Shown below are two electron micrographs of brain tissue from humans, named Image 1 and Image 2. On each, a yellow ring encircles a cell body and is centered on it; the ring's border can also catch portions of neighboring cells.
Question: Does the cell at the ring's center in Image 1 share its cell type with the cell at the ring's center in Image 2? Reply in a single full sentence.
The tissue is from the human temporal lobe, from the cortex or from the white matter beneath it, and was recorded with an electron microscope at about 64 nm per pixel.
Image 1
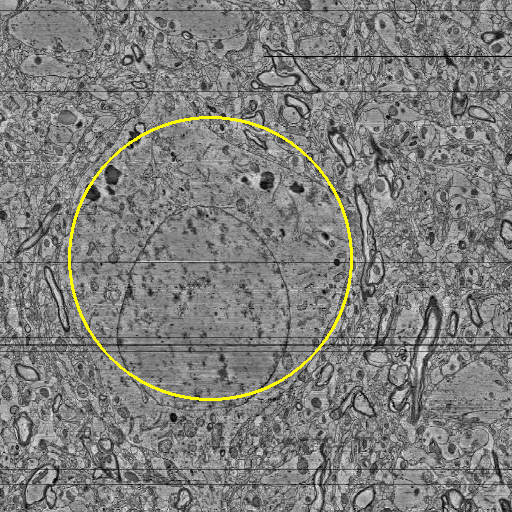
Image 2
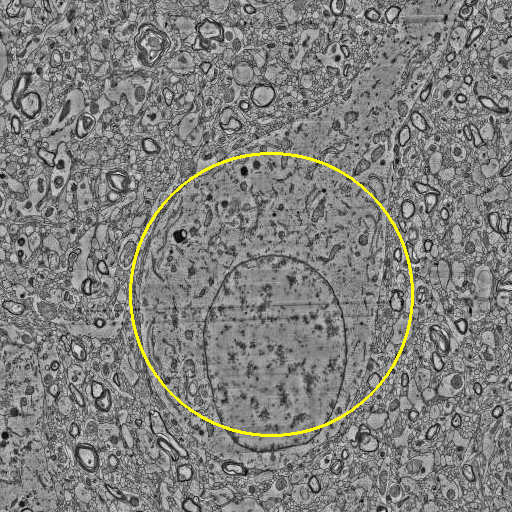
Yes, the two cells at the ring centers, in Image 1 and Image 2, share one cell type.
